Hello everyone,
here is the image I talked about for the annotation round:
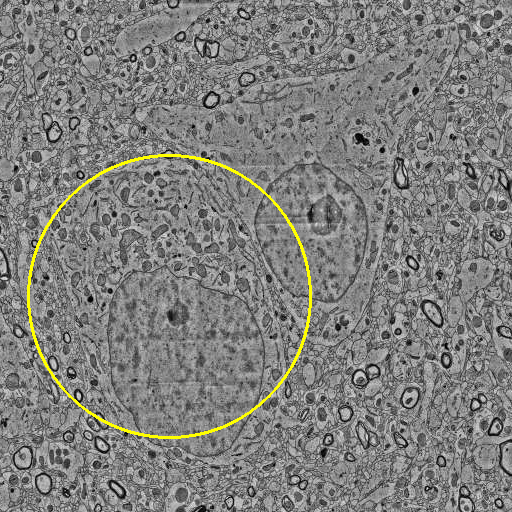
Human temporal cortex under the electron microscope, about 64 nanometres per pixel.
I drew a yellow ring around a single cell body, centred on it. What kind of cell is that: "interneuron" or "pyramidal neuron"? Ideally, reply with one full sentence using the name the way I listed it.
The cell your yellow ring is centred on is an interneuron, going by your list.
